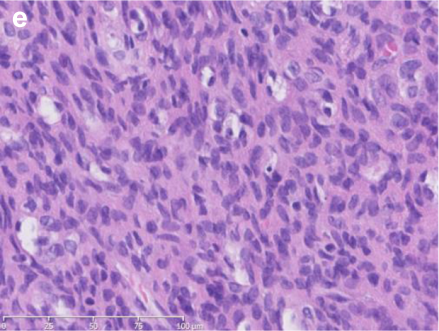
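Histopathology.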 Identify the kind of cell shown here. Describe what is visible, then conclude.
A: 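Elongated, oval to spindle-shaped purple nuclei fill the field. Cells are packed closely with little space between them. That points to this answer: dense spindle-shaped tumor cells.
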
